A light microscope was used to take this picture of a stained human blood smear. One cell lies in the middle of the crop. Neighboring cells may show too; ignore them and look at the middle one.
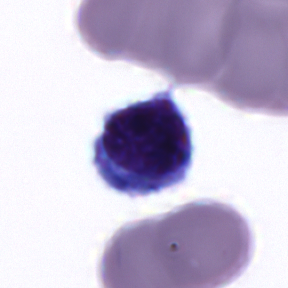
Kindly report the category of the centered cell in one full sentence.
The cell centered in this field of view is a plasma cell.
